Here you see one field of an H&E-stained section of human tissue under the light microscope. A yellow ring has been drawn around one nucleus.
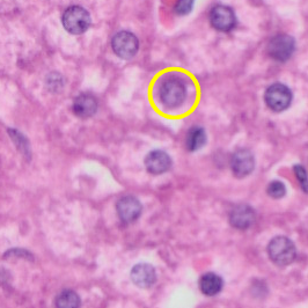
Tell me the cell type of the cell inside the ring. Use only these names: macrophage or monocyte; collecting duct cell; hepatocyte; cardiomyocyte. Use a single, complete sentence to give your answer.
In the tissue under study, the cell inside the ring is a hepatocyte.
